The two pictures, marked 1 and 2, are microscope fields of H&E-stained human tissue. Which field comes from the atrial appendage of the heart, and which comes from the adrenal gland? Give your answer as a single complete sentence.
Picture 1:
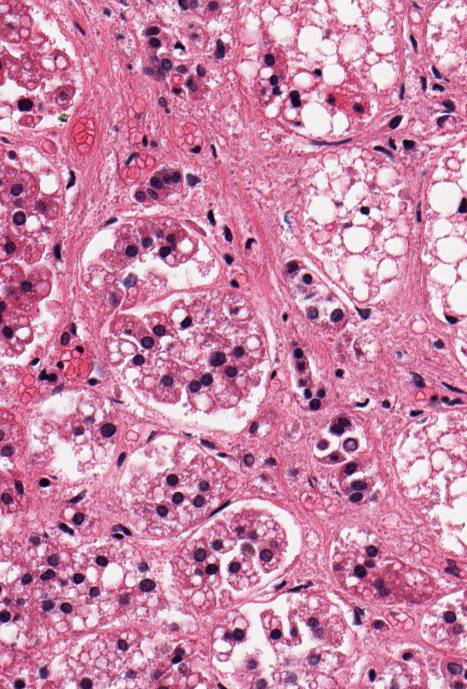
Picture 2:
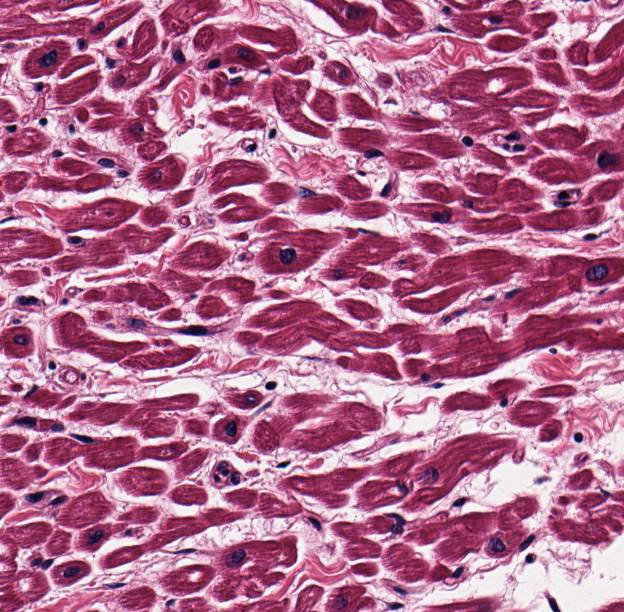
It is picture 1 that comes from the adrenal gland, and picture 2 that comes from the atrial appendage of the heart.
